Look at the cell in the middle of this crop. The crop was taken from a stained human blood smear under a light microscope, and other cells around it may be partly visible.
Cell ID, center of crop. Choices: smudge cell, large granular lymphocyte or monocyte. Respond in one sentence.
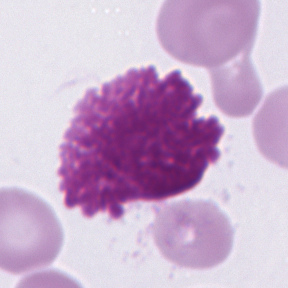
The crop centres on a single cell, and that cell is a smudge cell.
